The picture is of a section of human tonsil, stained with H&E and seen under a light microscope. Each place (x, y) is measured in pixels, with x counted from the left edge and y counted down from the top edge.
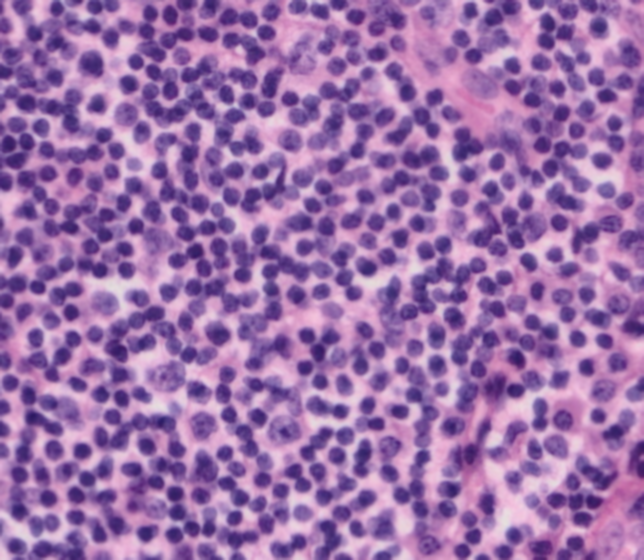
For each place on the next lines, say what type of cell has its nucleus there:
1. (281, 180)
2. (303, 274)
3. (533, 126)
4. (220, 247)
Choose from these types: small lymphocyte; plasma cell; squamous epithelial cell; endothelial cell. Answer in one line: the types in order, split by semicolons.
small lymphocyte; small lymphocyte; endothelial cell; small lymphocyte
